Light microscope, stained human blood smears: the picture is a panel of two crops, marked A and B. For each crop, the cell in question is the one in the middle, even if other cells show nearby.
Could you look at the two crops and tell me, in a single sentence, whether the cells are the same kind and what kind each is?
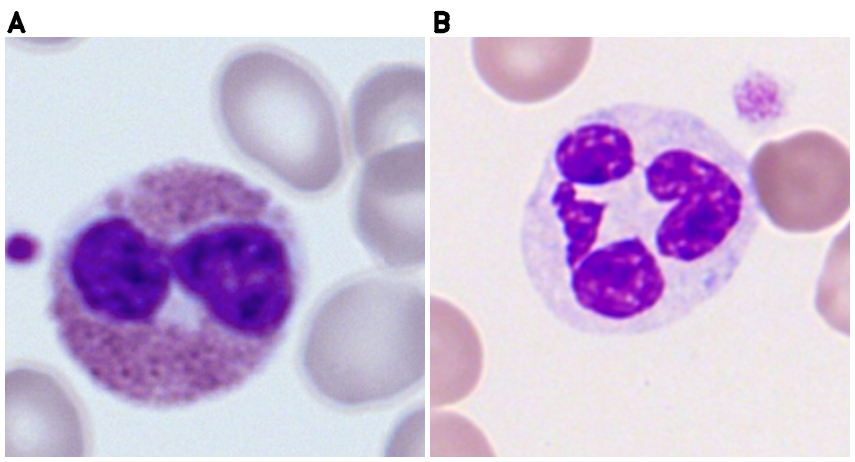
No; crop A is an eosinophil, while crop B is a neutrophil.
